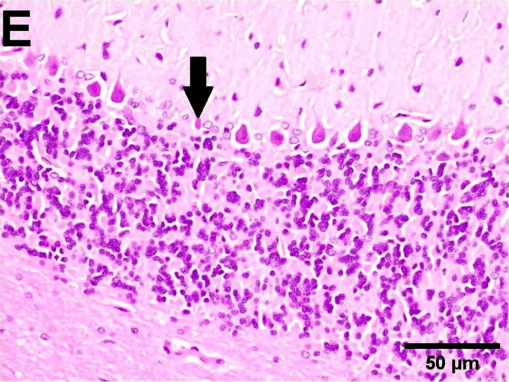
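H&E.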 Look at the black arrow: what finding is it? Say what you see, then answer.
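Degeneration of sporadic Purkinje cells. The arrow points into a row of large cells at the edge of the dense nuclear layer. Some cells in that row are small and darker than their neighbours.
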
